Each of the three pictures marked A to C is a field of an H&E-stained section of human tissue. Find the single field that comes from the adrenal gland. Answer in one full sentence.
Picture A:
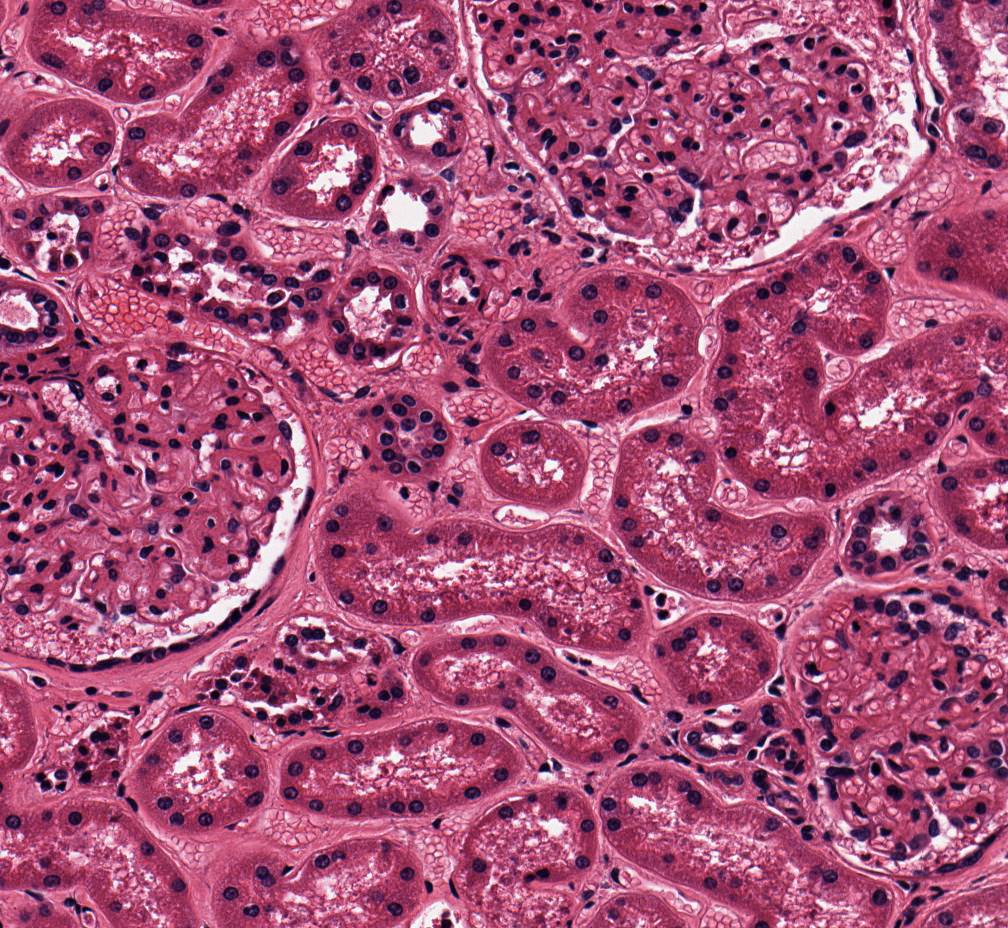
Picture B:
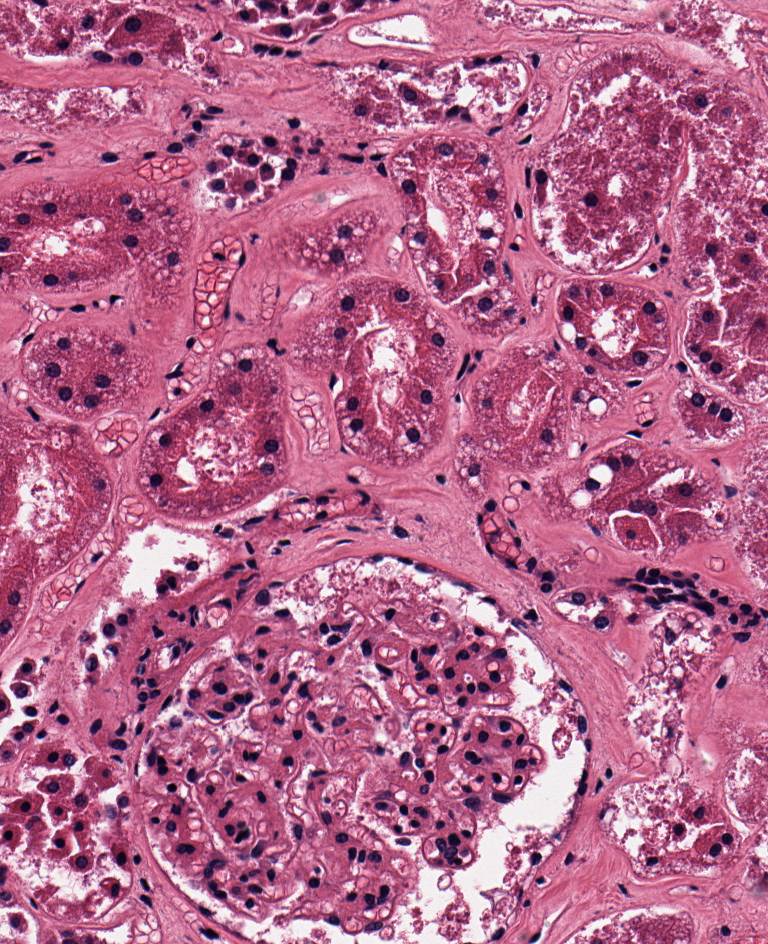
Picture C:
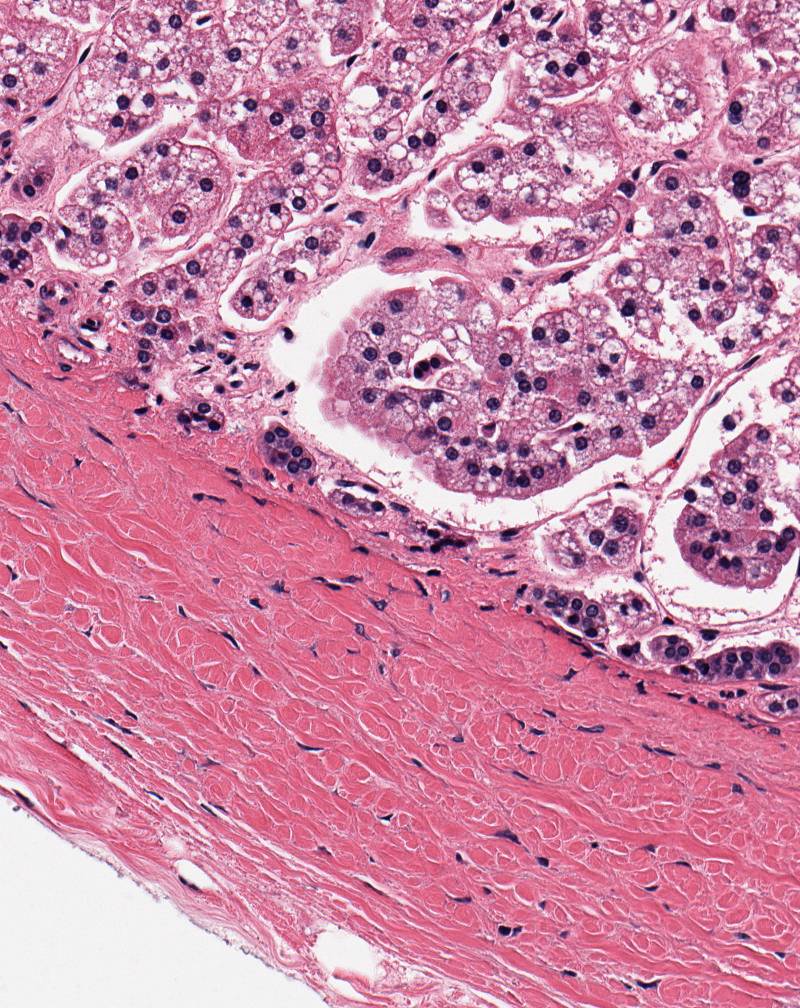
Picture C is the field that comes from the adrenal gland.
